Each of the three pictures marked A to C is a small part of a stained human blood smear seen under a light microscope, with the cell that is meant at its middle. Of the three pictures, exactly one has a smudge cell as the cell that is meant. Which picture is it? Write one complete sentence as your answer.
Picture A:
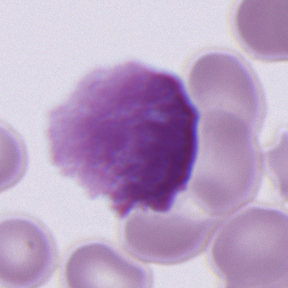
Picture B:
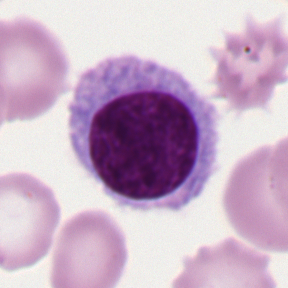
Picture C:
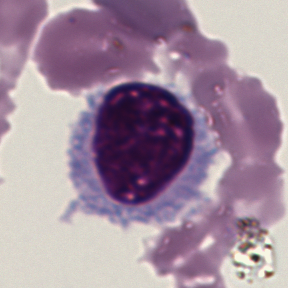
The cell in picture A is the smudge cell.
